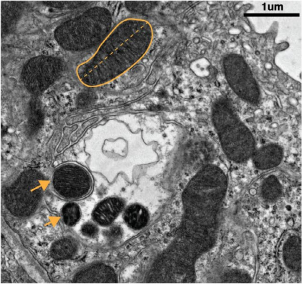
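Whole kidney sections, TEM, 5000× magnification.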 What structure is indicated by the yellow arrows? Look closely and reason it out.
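Autophagic vesicles. The arrows point to round membrane-bound bodies with a double outline. The bodies enclose dense, mitochondria-like content.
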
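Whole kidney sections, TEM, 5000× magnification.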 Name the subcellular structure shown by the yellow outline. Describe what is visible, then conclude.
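The outlined body is elongated and electron-dense. Transverse cristae lines cross its interior. Similar dense elongated bodies lie throughout the cytoplasm.
Mitochondria.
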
